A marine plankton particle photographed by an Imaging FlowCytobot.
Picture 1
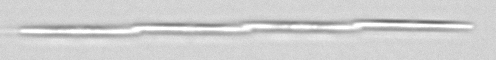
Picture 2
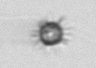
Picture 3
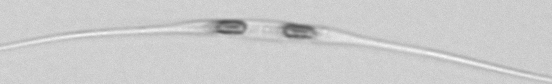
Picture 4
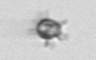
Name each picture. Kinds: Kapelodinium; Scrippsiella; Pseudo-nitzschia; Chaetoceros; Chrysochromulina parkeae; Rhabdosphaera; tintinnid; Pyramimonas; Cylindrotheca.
1: Pseudo-nitzschia
2: Rhabdosphaera
3: Cylindrotheca
4: Rhabdosphaera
